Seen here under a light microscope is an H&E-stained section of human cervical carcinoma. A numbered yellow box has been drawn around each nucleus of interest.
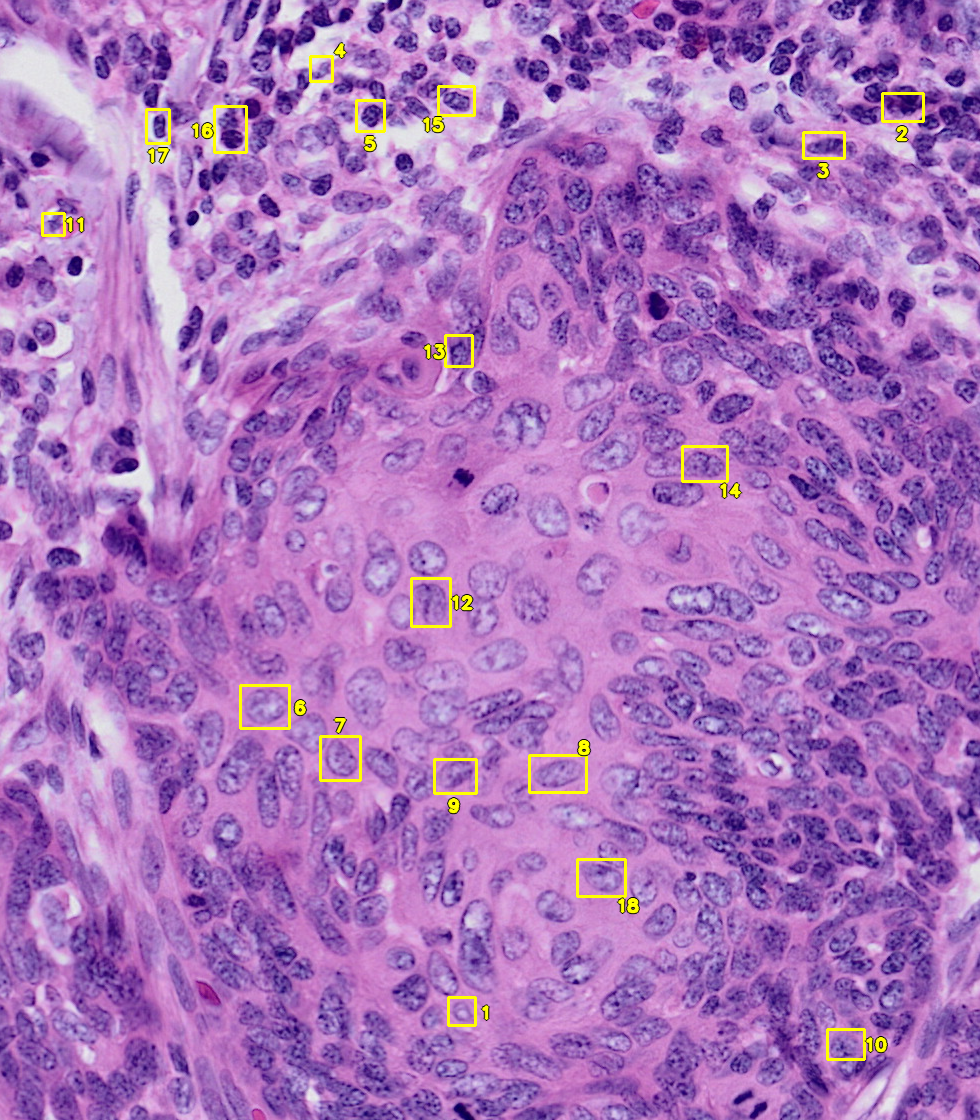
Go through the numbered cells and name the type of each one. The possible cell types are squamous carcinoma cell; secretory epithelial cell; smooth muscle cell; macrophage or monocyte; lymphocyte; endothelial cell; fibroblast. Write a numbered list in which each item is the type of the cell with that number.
1. squamous carcinoma cell
2. lymphocyte
3. lymphocyte
4. lymphocyte
5. lymphocyte
6. squamous carcinoma cell
7. squamous carcinoma cell
8. squamous carcinoma cell
9. squamous carcinoma cell
10. squamous carcinoma cell
11. endothelial cell
12. squamous carcinoma cell
13. squamous carcinoma cell
14. squamous carcinoma cell
15. lymphocyte
16. lymphocyte
17. lymphocyte
18. squamous carcinoma cell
